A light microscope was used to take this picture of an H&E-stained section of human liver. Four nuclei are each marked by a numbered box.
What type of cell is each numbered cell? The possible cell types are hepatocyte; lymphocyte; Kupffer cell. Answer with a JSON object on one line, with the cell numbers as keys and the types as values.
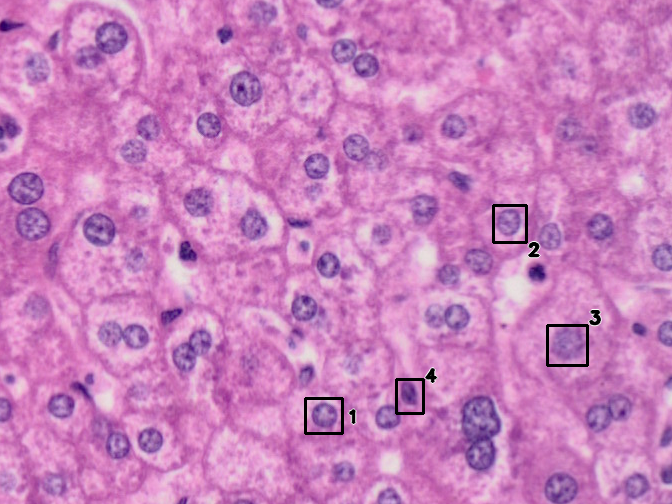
{"1": "hepatocyte", "2": "hepatocyte", "3": "hepatocyte", "4": "Kupffer cell"}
